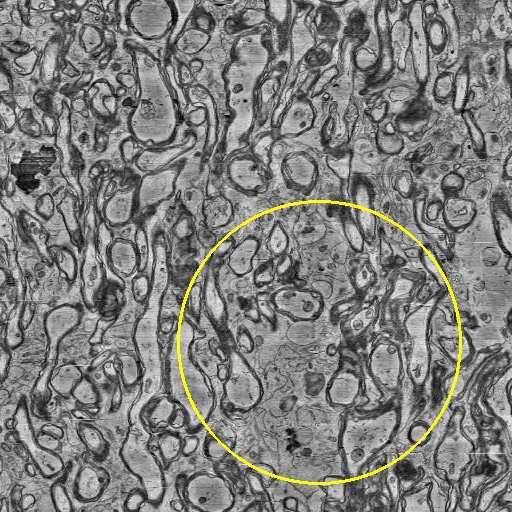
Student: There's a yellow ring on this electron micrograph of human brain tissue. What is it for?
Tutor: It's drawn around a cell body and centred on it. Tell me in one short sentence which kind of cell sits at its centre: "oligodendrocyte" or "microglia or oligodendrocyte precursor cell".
The cell at the centre of the ring is a microglial cell or oligodendrocyte precursor cell.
